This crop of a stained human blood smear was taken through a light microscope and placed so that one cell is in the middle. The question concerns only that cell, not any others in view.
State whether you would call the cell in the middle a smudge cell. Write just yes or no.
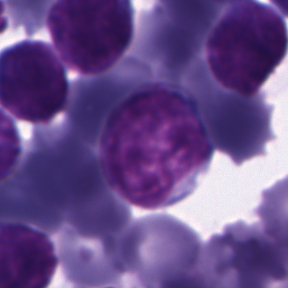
no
